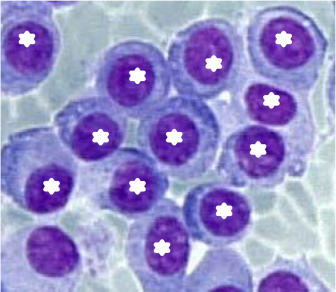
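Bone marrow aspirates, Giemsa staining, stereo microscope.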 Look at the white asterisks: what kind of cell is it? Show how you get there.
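Marked cells are round to oval with abundant blue cytoplasm. The marked cells lie packed together, filling the field. So: plasma cells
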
